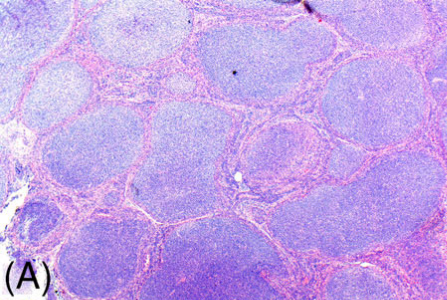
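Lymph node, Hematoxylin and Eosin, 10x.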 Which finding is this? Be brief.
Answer: purely nodular lymphoma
